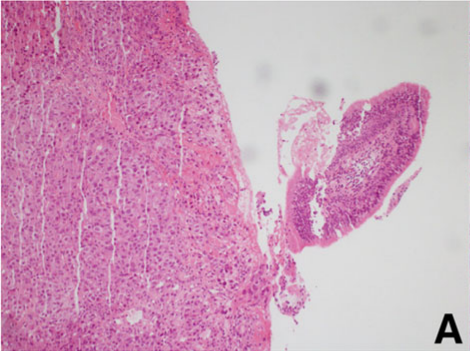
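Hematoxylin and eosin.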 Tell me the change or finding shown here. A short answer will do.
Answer: Solid-growth non-small cell epithelial neoplasia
